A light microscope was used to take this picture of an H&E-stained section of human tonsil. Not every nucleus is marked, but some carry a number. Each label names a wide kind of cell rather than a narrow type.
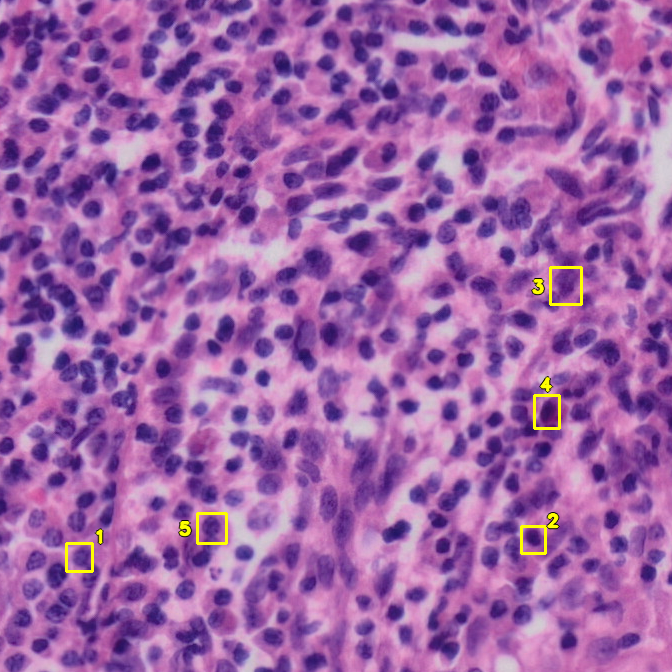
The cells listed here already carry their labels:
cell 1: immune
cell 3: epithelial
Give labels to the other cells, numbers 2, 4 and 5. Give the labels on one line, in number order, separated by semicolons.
epithelial; immune; immune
